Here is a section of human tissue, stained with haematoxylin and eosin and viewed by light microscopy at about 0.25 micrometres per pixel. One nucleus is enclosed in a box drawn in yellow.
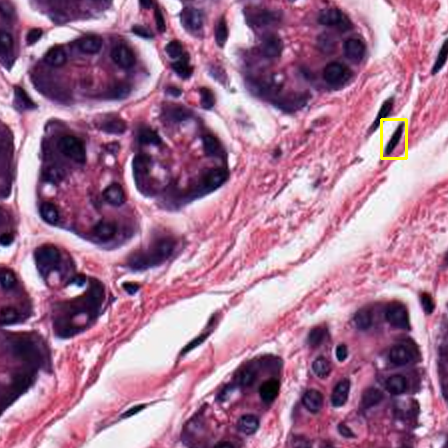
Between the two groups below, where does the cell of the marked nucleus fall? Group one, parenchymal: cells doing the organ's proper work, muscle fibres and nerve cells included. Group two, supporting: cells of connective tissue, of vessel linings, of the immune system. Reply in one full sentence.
The marked nucleus is assigned to a supporting cell.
